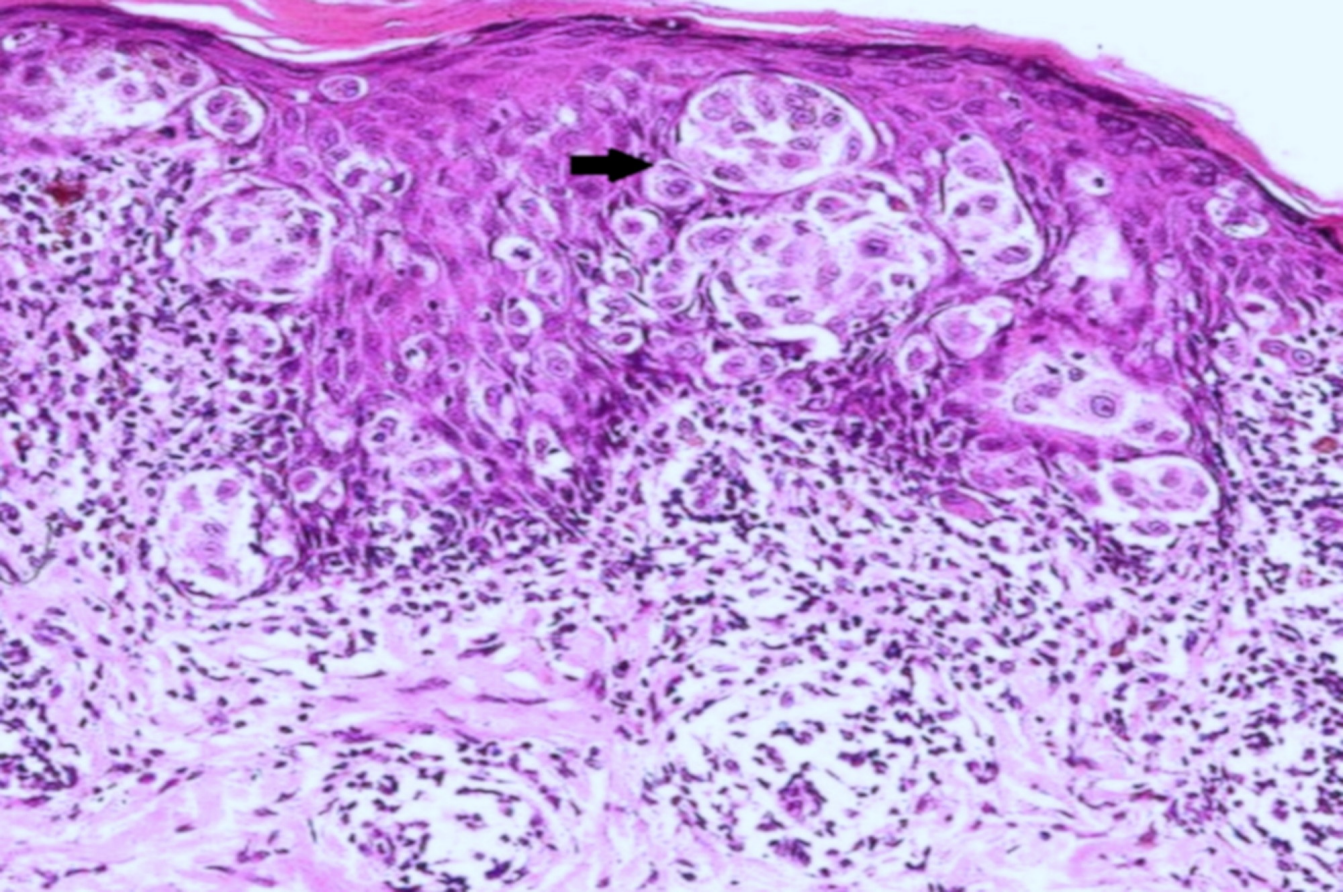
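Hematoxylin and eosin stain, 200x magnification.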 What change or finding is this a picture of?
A: malignant melanoma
